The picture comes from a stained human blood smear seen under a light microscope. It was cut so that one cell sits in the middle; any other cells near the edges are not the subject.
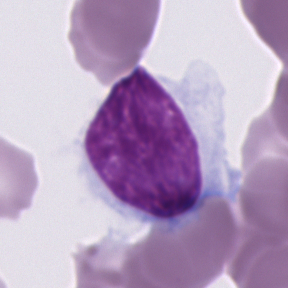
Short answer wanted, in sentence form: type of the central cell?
In this crop, the cell at the very middle is a hairy cell.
